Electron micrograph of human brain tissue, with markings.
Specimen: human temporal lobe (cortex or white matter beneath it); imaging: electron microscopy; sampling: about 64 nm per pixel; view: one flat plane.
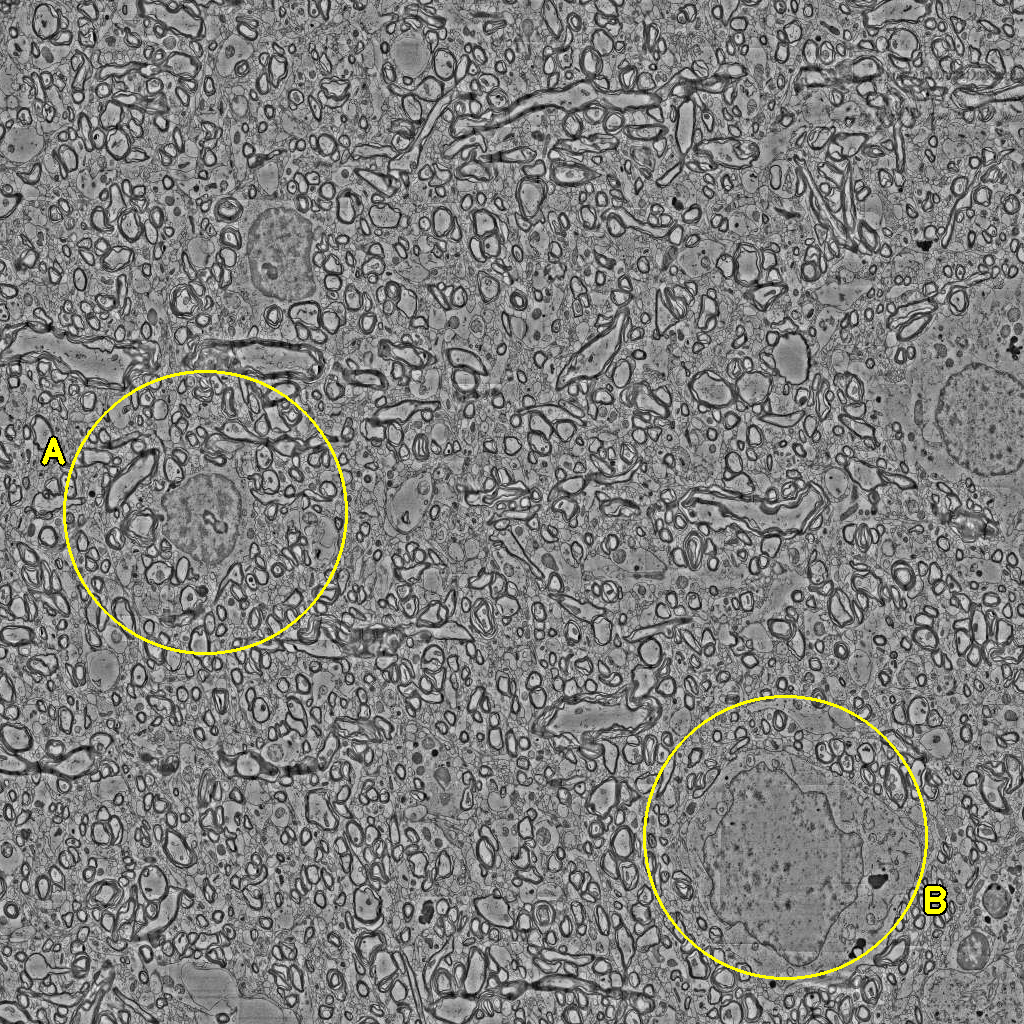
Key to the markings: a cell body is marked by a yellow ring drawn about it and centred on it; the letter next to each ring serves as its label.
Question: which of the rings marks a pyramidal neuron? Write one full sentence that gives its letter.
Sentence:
In this picture, the ring marking that kind of cell has the letter B.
